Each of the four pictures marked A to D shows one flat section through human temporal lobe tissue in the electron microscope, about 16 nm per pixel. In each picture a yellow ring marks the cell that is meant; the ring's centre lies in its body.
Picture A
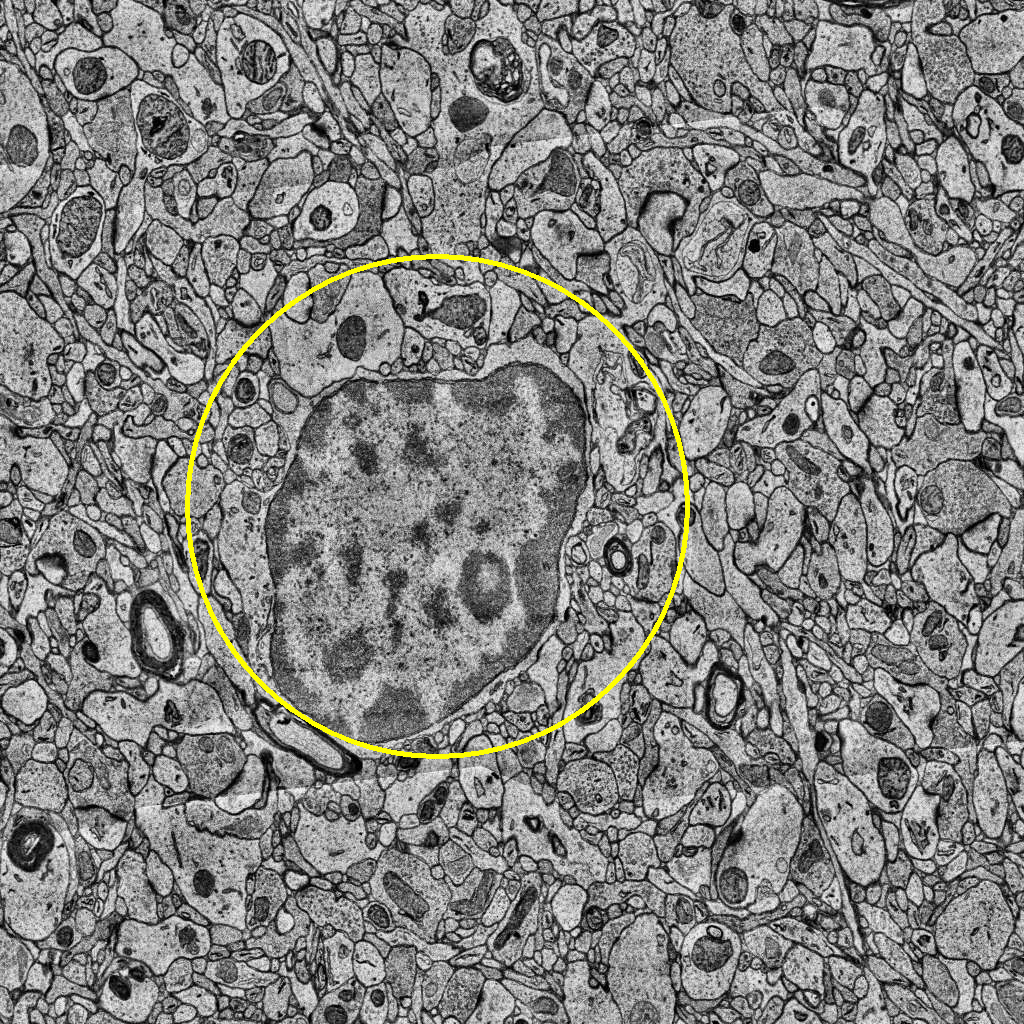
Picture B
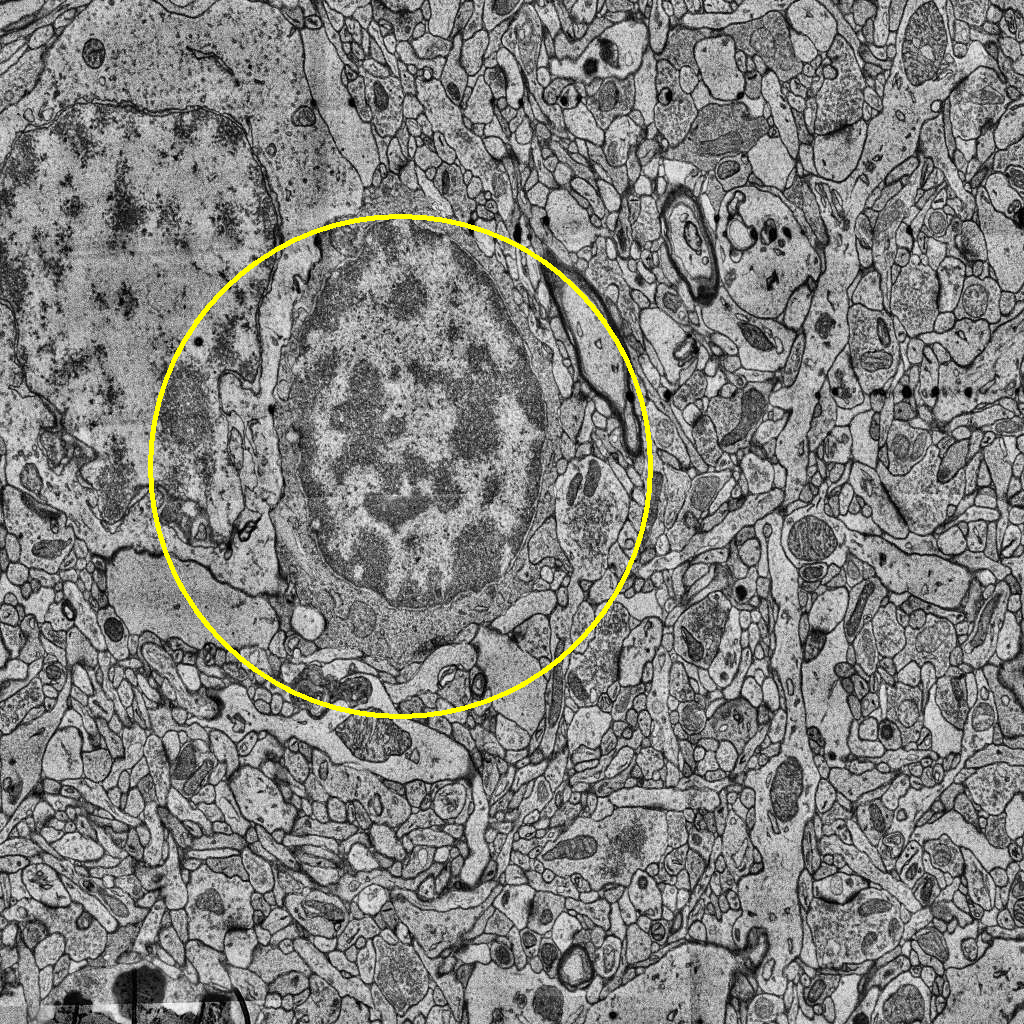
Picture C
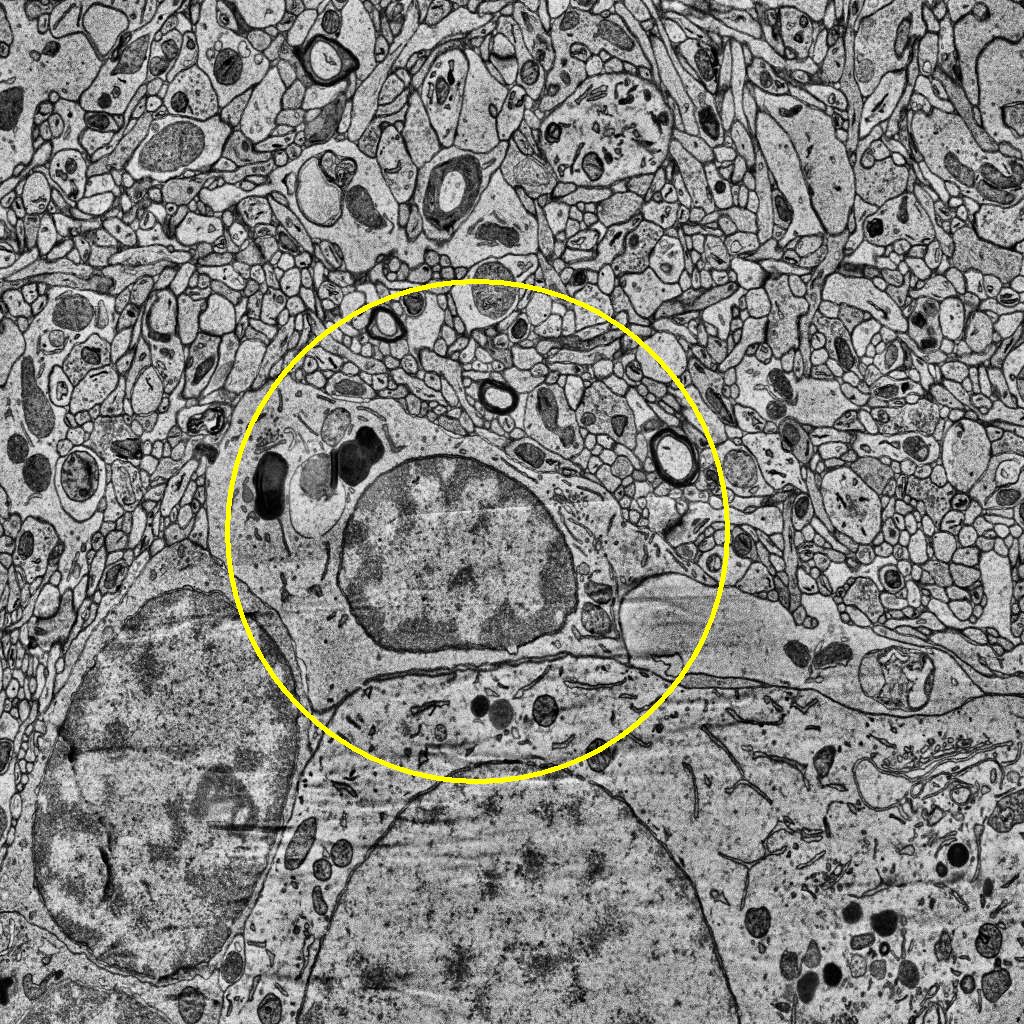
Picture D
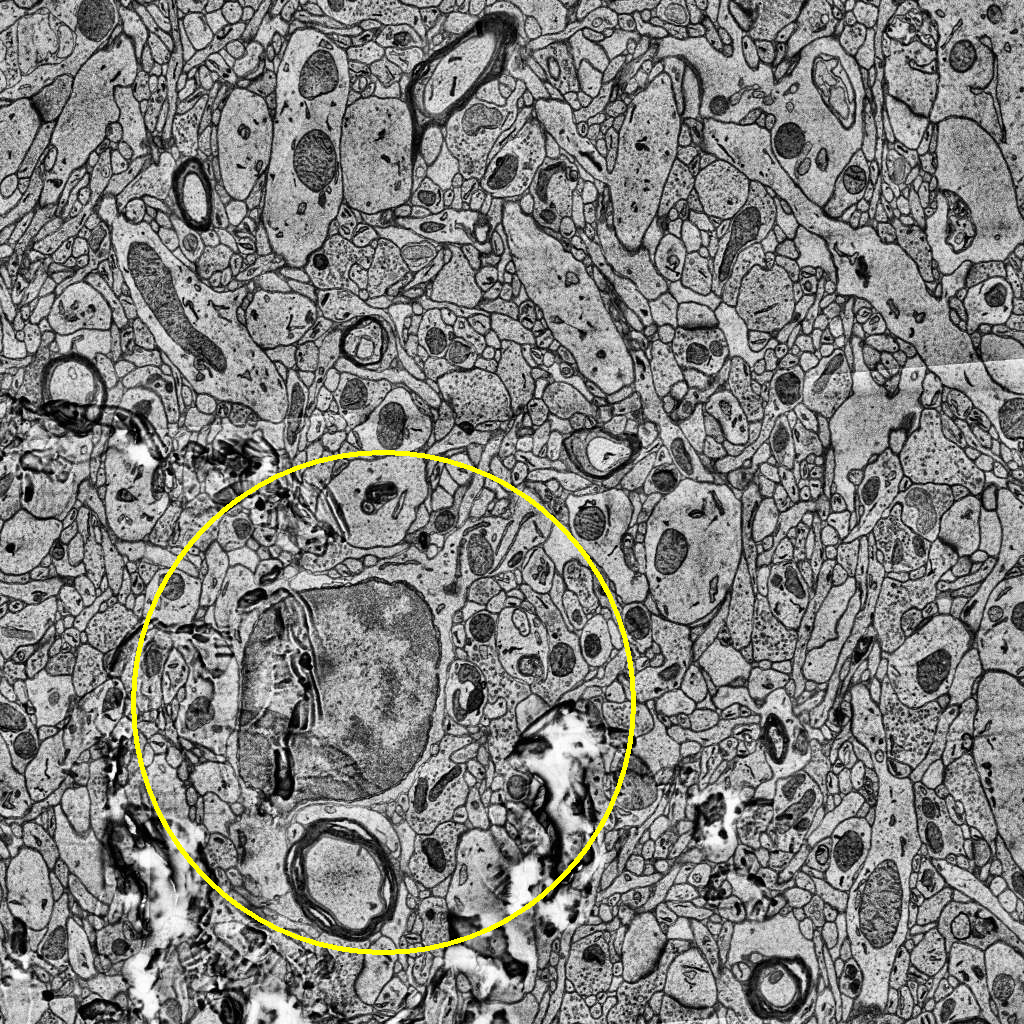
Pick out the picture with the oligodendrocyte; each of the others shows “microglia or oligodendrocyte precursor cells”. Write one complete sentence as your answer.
The picture with the oligodendrocyte is B.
